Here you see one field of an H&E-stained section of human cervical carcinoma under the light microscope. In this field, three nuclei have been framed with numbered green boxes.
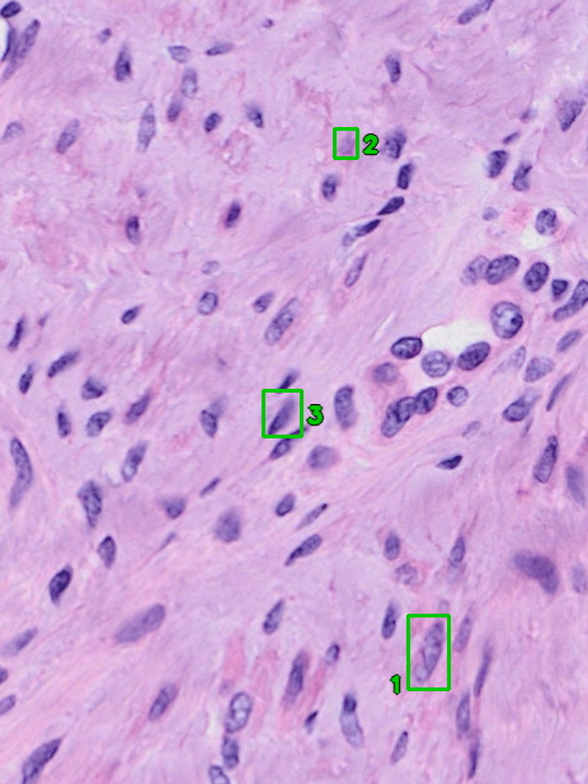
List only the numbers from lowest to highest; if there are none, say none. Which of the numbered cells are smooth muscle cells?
1, 2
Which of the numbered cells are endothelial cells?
none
